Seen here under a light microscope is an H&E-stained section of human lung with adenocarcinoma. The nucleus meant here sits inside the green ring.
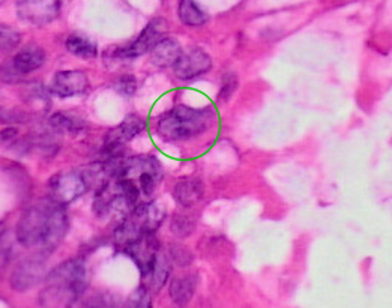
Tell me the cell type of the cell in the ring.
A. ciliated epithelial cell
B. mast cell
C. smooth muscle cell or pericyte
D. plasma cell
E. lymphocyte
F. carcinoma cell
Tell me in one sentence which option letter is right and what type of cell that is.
In agreement with option A, the cell in the ring is a ciliated epithelial cell.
